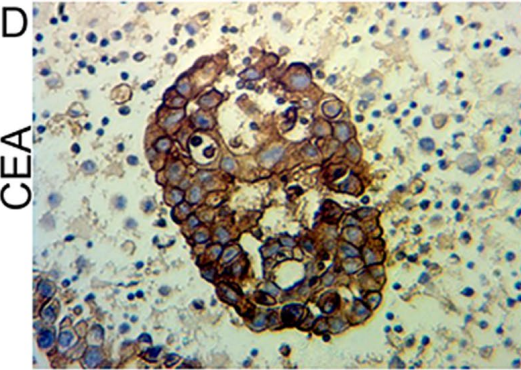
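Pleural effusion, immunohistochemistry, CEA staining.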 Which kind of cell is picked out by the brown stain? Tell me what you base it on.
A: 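The cells of the large cluster are outlined by brown stain along their membranes and cytoplasm. The small scattered cells around the cluster are unstained. So: tumor cells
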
